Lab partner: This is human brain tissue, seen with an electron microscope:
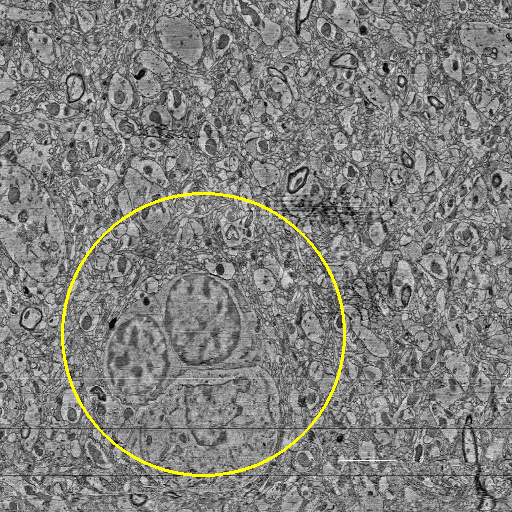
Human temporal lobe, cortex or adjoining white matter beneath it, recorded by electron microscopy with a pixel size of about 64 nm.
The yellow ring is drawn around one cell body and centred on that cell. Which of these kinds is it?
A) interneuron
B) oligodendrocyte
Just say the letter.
B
